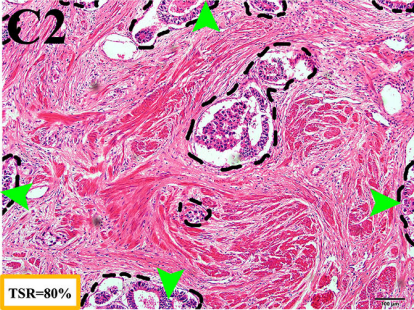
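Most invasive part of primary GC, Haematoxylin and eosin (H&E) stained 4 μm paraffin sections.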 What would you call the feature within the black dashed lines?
cancer nests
